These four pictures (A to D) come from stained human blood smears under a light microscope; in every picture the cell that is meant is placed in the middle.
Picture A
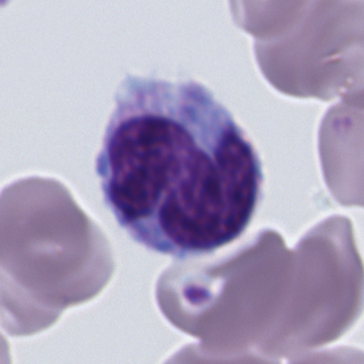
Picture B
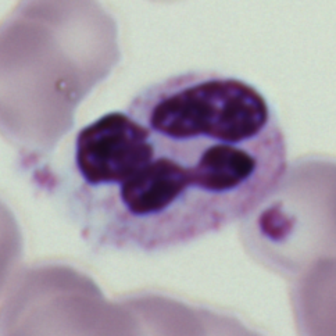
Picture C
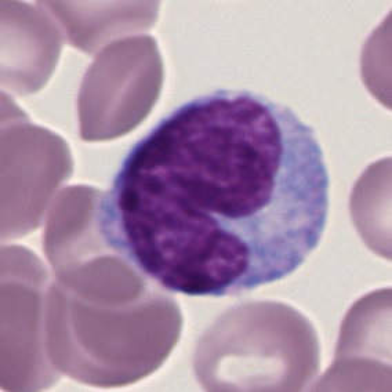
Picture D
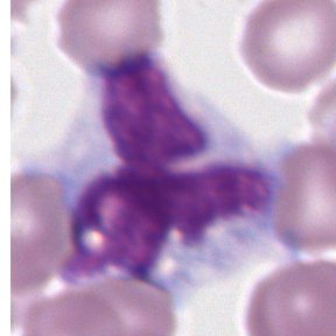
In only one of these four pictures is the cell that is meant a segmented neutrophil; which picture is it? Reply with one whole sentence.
It is picture B that shows the segmented neutrophil.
